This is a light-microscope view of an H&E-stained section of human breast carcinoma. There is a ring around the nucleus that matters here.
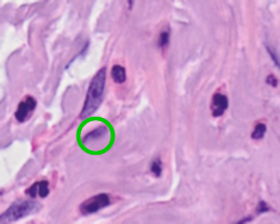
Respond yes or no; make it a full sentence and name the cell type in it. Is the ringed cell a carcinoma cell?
No, score the ringed cell as a fibroblast; it is not a carcinoma cell.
